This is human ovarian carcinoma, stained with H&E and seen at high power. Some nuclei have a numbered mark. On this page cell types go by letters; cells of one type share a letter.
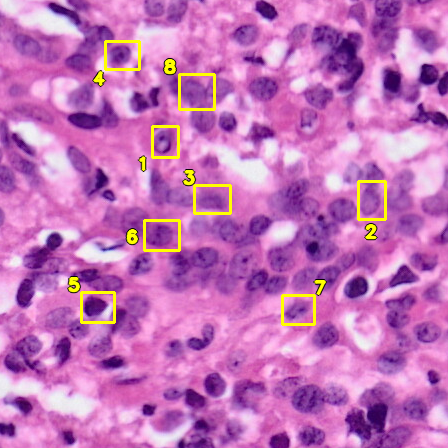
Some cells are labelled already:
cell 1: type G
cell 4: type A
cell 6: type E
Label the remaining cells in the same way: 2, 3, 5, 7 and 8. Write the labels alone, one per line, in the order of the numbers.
type E
type E
type E
type A
type E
